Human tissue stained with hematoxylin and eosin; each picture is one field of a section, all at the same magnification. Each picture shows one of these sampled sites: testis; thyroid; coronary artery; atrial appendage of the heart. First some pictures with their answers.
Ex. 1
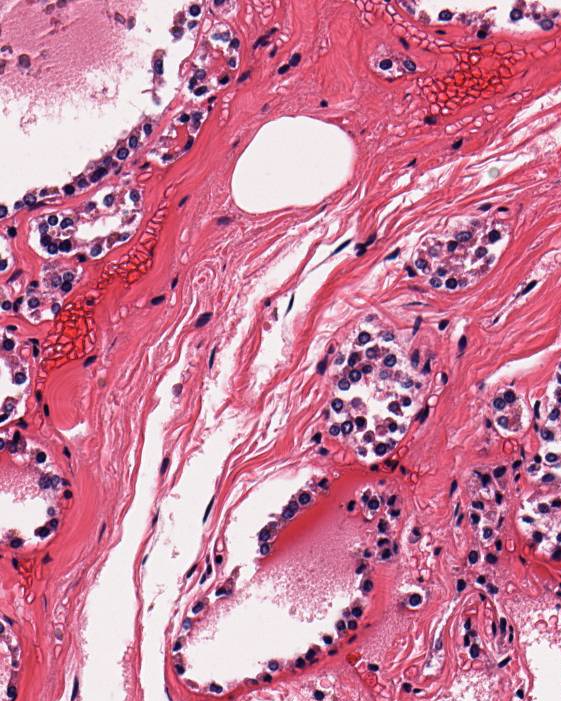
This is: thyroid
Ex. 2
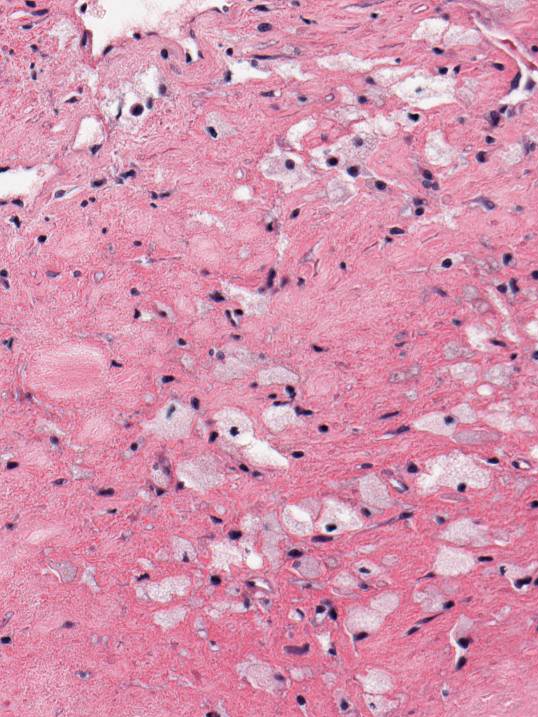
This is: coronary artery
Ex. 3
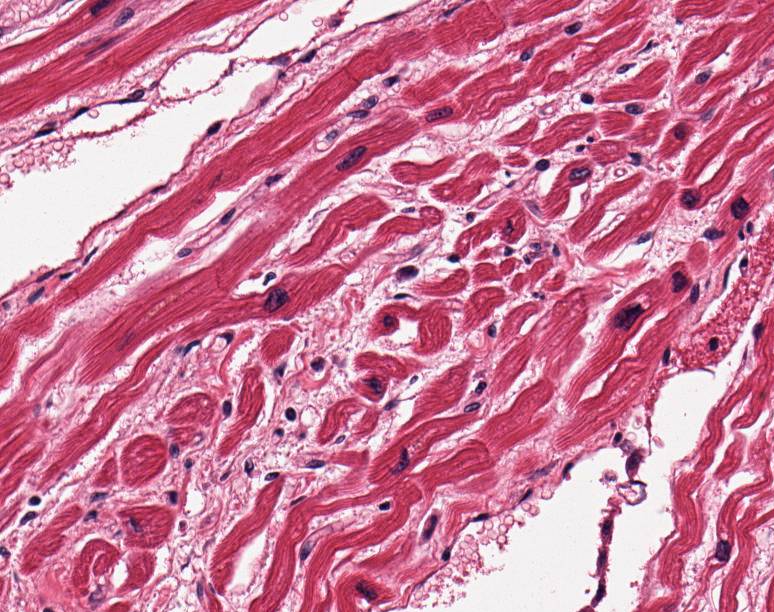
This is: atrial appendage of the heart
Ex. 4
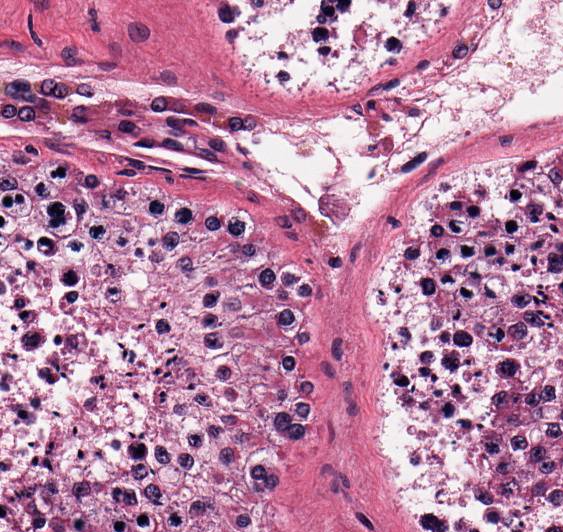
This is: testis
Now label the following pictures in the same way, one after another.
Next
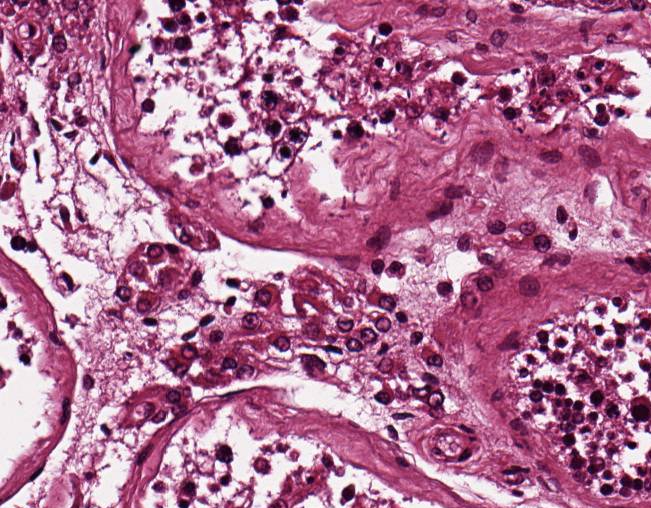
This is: testis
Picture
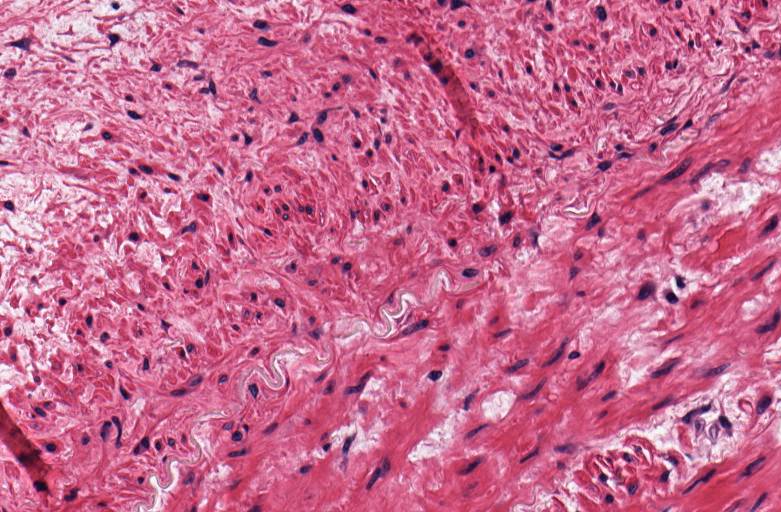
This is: coronary artery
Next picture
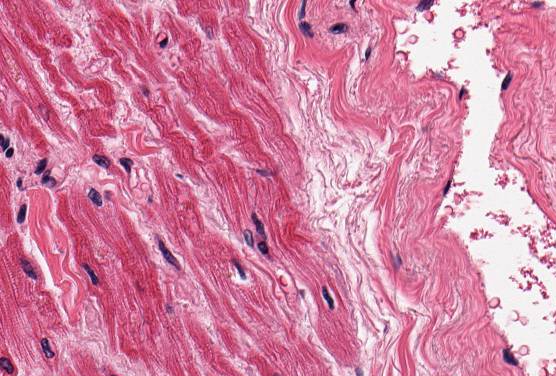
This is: atrial appendage of the heart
